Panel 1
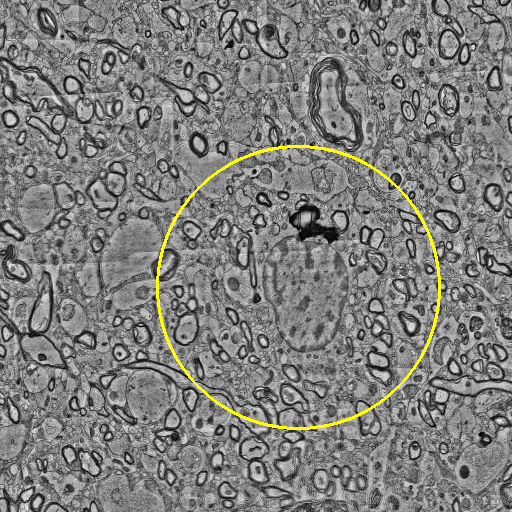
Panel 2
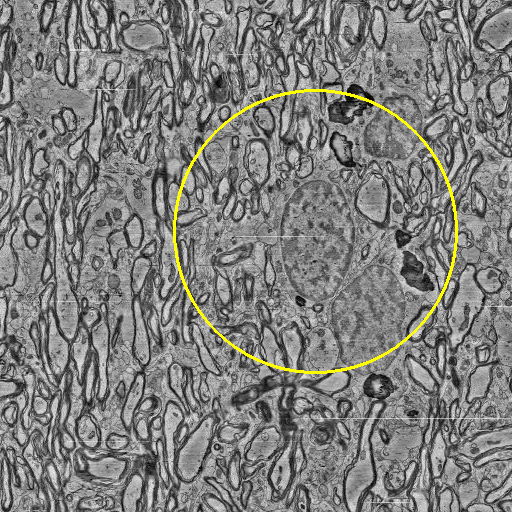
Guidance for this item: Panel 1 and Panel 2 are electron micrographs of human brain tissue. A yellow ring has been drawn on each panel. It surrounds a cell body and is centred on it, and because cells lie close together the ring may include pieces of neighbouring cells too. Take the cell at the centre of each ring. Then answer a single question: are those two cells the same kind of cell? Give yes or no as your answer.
yes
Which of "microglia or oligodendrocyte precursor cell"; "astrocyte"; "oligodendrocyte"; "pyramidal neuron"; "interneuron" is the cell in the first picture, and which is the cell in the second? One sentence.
The cell at the ring centre is an oligodendrocyte in both pictures.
